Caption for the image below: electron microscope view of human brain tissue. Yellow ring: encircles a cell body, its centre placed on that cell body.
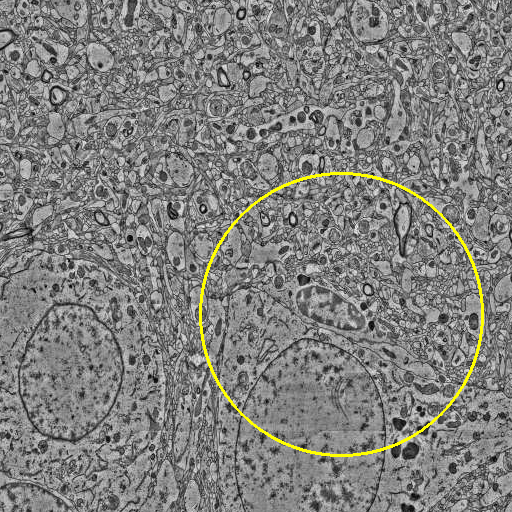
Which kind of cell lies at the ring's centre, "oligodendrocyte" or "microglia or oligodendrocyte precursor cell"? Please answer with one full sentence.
The picture shows a microglial cell or oligodendrocyte precursor cell at the centre of the yellow ring.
